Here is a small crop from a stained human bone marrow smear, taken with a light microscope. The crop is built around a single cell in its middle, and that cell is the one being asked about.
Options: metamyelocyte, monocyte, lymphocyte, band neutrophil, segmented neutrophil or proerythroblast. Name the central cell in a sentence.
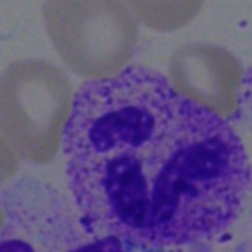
The cell nearest the centre of this crop is a segmented neutrophil.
